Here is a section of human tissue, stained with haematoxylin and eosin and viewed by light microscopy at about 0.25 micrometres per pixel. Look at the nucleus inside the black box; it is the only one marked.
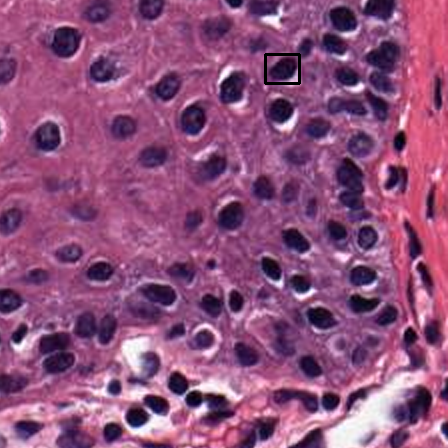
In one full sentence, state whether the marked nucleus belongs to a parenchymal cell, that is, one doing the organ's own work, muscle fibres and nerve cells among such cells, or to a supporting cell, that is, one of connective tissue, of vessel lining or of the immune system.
The marked nucleus is held by a parenchymal cell, namely a squamous epithelial cell.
